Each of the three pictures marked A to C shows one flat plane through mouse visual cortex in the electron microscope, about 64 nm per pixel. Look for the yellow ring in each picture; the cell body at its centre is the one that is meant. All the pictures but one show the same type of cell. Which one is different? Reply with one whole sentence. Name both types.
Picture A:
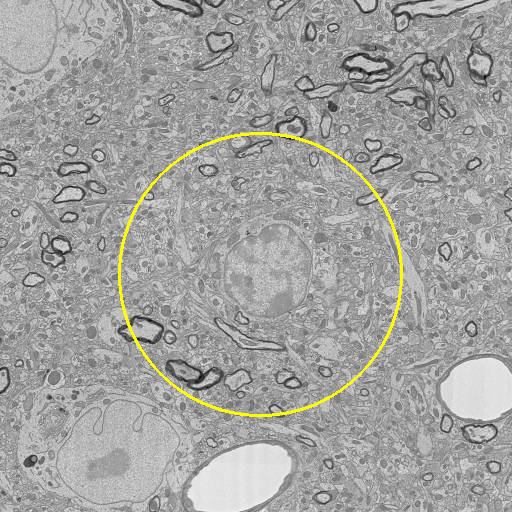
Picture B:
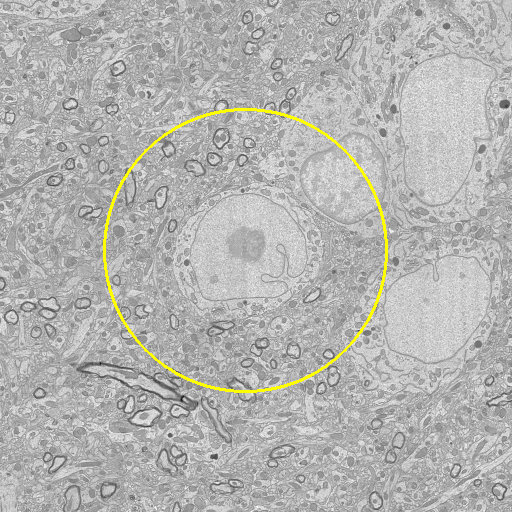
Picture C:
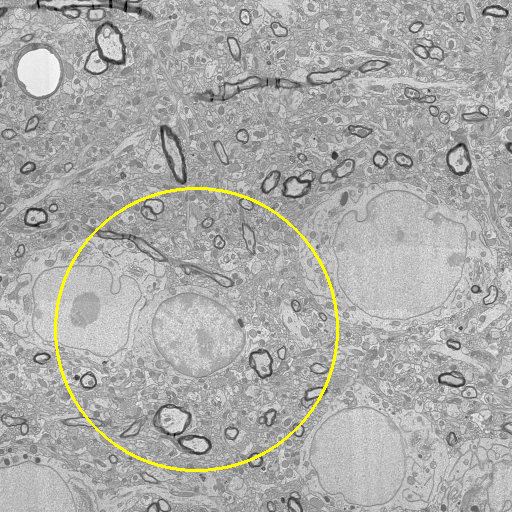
All pictures except B show oligodendrocytes; picture B shows an inhibitory neuron.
